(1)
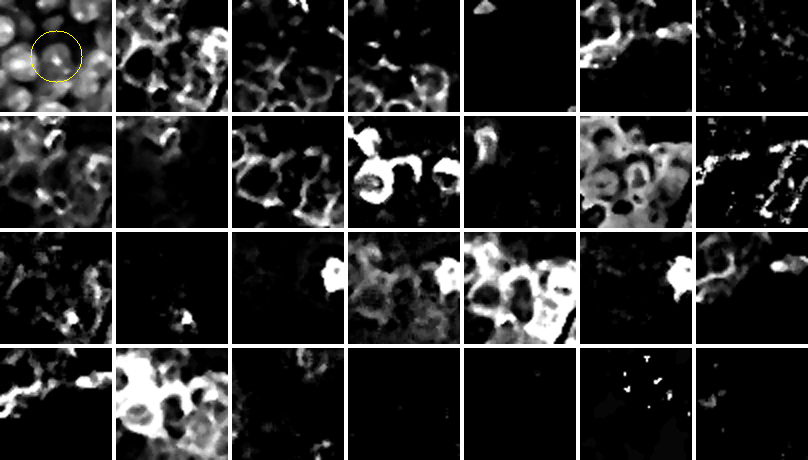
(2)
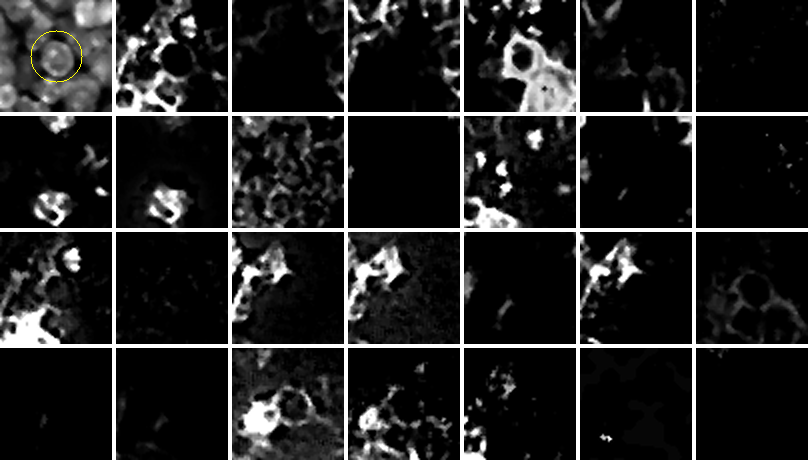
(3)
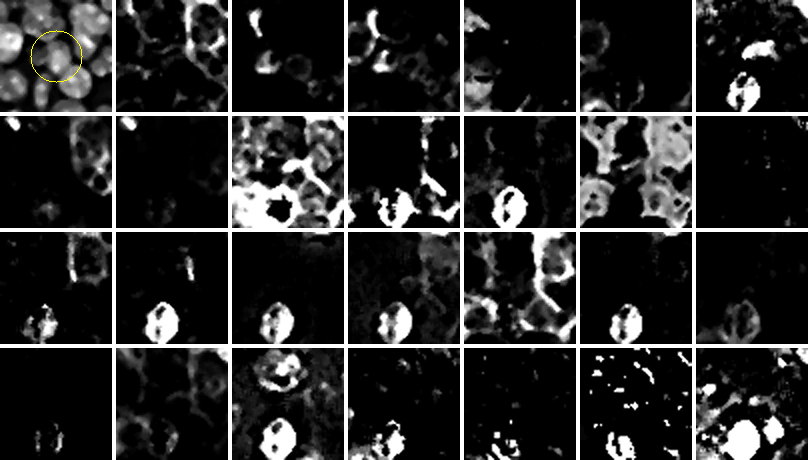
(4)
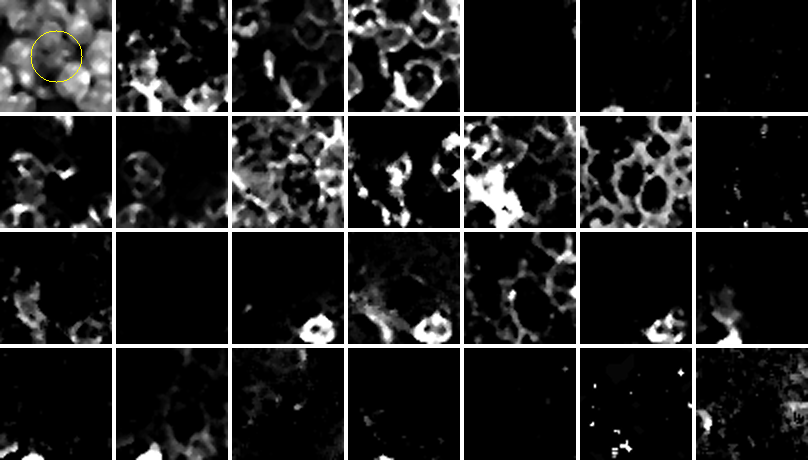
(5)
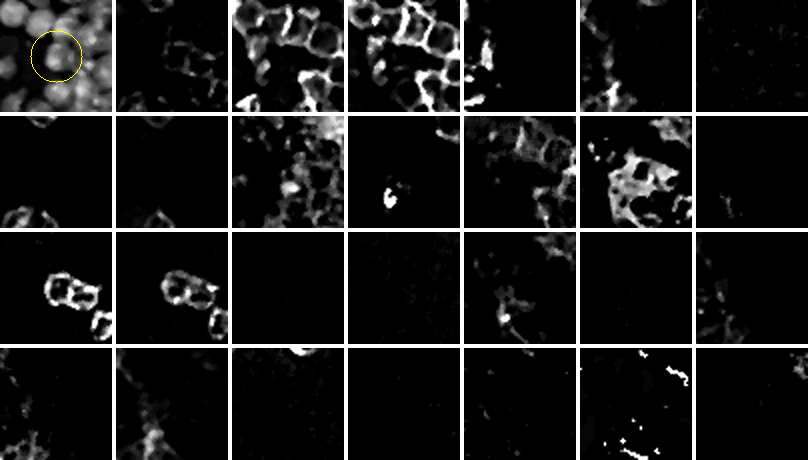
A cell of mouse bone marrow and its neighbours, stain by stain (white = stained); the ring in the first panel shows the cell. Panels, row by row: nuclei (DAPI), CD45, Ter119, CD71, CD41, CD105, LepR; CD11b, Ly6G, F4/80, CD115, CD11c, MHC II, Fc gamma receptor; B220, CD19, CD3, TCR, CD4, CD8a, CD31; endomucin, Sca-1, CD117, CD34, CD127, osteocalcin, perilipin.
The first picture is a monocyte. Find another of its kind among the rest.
Picture 4.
